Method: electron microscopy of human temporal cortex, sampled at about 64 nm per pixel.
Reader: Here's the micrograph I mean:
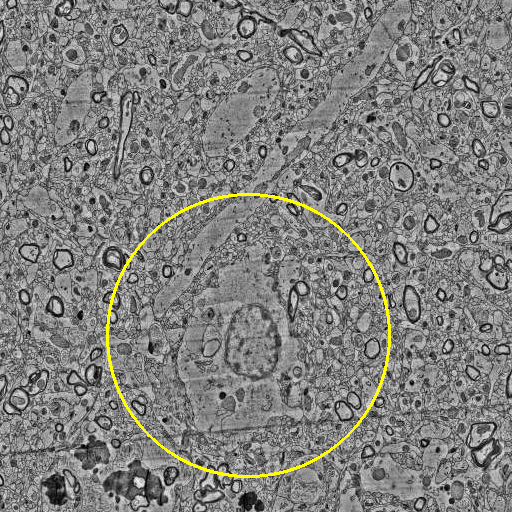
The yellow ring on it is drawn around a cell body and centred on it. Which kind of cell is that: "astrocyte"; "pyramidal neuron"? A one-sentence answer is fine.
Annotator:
The ring is centred on an astrocyte.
